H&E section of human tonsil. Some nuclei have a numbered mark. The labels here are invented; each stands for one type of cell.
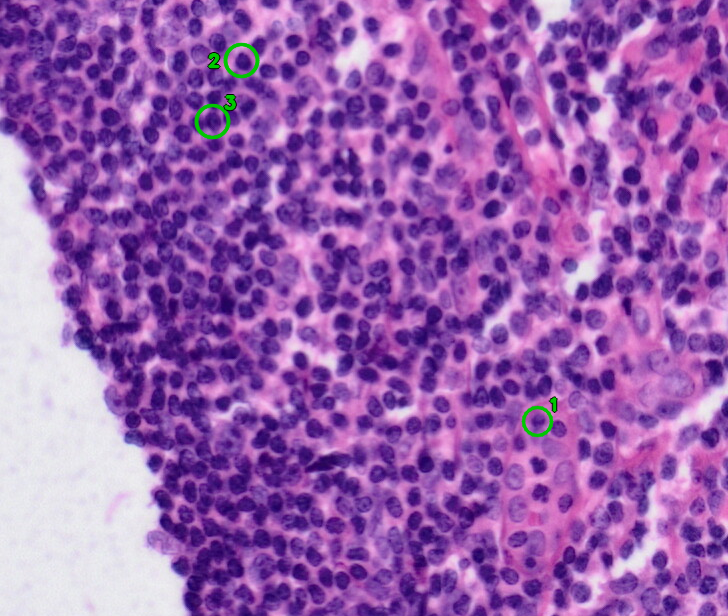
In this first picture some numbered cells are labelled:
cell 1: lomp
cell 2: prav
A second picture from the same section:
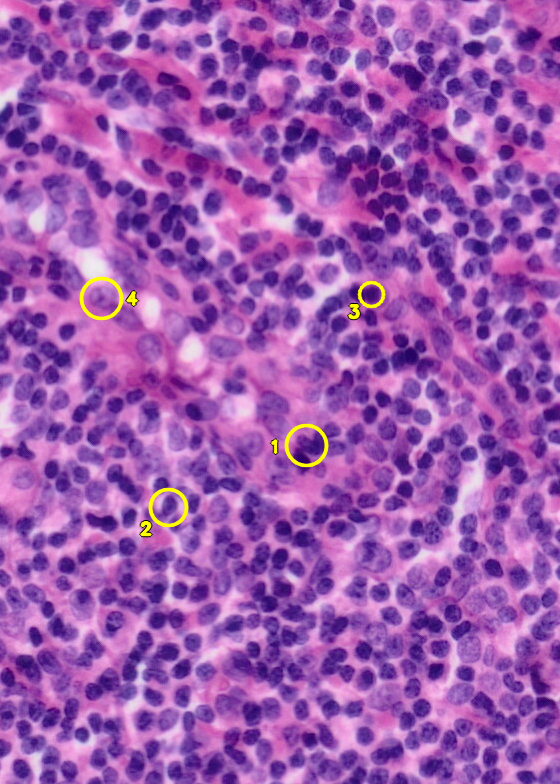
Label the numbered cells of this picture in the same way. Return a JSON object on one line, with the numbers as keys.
{"1": "lomp", "2": "prav", "3": "lomp", "4": "lomp"}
